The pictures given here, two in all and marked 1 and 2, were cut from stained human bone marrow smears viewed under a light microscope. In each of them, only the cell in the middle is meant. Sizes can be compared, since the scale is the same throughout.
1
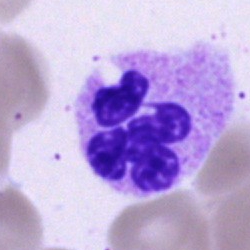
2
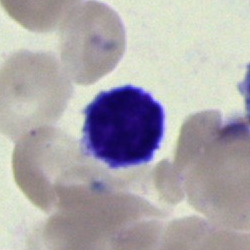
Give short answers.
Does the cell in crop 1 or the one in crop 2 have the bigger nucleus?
1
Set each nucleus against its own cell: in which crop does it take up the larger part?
2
